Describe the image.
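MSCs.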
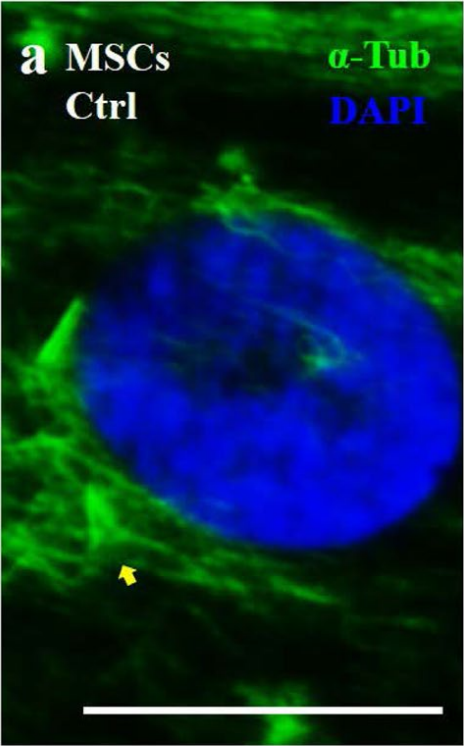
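A single cell with a large oval blue nucleus is shown, surrounded by a dense network of green filaments in the cytoplasm. Below and left of the nucleus a short, bright green rod projects from the filament network, a primary cilium.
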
